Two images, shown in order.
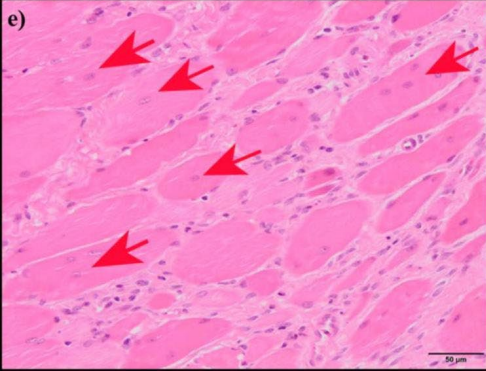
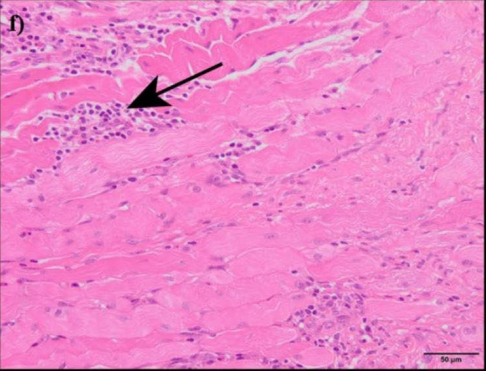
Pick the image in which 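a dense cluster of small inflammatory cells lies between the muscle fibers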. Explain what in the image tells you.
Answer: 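Second image: a compact focus of many small dark-nucleated cells sits between fibers.
Answer: the second image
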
